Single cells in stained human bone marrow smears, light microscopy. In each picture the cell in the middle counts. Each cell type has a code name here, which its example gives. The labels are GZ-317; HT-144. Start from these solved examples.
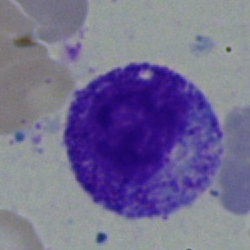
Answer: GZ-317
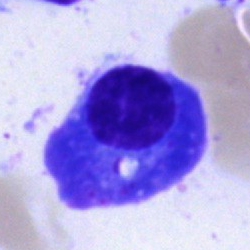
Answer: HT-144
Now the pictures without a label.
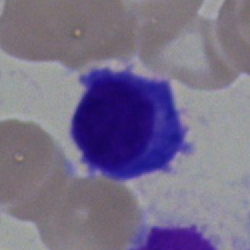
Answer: HT-144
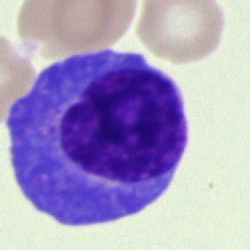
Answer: HT-144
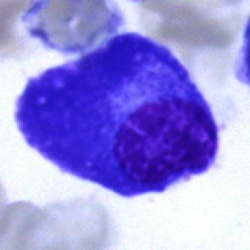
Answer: HT-144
